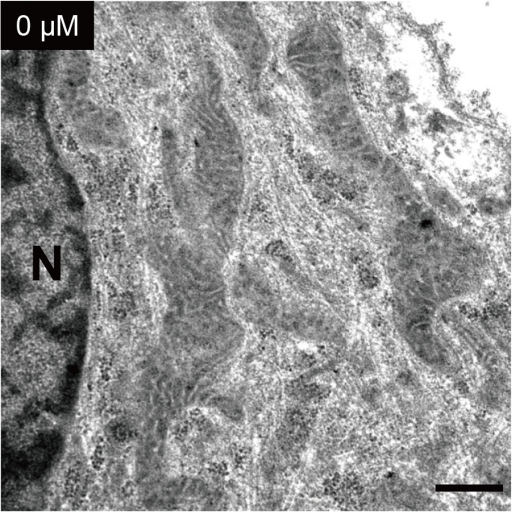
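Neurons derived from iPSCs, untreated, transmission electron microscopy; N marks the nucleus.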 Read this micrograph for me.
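The cytoplasm is crowded with long, tubular mitochondria that run roughly parallel to one another; they are moderately dense and show many folded cristae inside an intact outer membrane. Between them lie scattered small dark granules, consistent with ribosomes, and thin membrane profiles. No large clear vacuoles or membrane-bound bodies with debris are seen in this field.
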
